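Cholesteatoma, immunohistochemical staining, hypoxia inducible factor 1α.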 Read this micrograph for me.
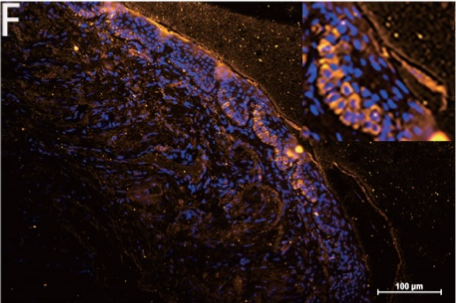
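This is a layered epithelium of keratinocytes running along the edge of the section, with looser tissue beneath it. Blue nuclei are crowded in the epithelial band, and many of these cells carry orange staining around their nuclei. In the enlarged inset, a row of closely packed cells shows bright orange rims encircling blue nuclei, so the orange lies in the cytoplasm rather than the nuclei. The brightest staining sits in this deepest row of epithelial cells, with weaker orange in the layers just above. Scattered orange specks also lie in the acellular material outside the tissue.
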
